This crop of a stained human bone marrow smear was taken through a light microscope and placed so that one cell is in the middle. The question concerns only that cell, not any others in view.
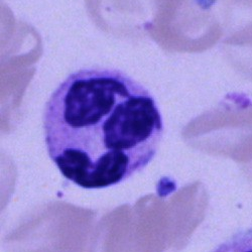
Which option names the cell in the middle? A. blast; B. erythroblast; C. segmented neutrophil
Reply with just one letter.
C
